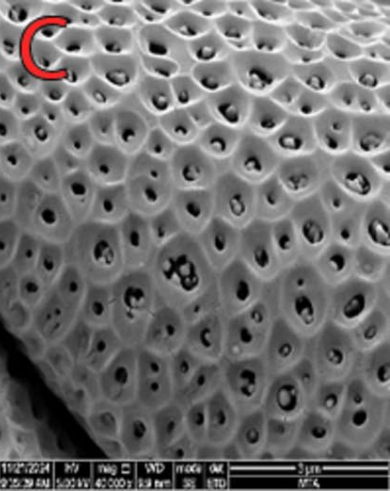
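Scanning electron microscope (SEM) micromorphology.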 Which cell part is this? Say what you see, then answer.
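A close-up of a wall surface with a network of polygonal pits. Smooth ridges separate the pits. Many pits show small dark holes at their bottom. So: Exine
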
